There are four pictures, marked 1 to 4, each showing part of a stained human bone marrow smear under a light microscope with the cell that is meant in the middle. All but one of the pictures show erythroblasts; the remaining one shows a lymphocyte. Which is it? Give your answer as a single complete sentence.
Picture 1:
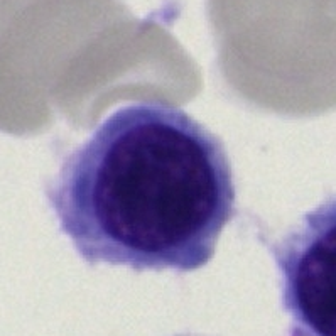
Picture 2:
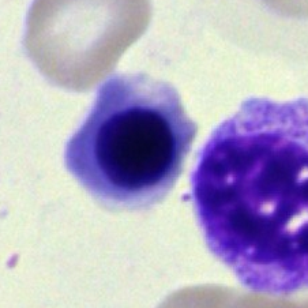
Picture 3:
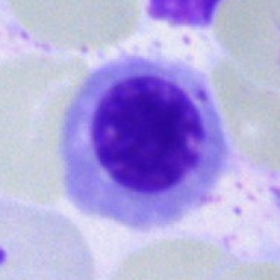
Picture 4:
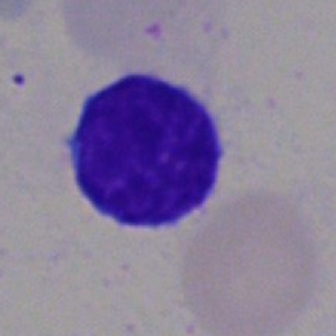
It is picture 4 that shows the lymphocyte.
